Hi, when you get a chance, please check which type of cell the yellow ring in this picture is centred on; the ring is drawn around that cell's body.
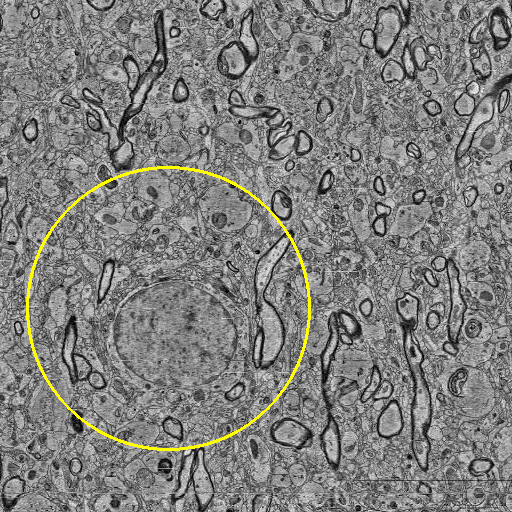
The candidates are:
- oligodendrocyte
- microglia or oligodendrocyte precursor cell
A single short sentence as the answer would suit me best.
The ring is drawn around the body of a microglial cell or oligodendrocyte precursor cell.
